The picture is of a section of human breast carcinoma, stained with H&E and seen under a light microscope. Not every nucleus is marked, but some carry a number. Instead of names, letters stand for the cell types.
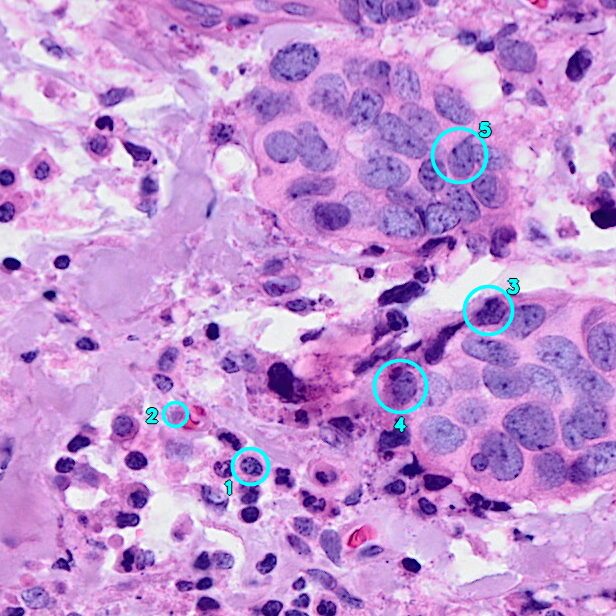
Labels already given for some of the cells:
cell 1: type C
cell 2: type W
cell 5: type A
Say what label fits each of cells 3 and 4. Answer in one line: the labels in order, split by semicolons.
type A; type A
